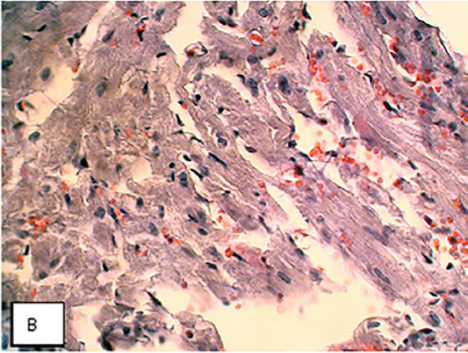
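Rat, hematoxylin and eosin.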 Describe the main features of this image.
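Heart muscle with cardiomyocytes that appear as irregular, fragmented bundles separated by wide, clear spaces, unlike a tightly packed, orderly arrangement. The fibers have purplish-pink, somewhat granular cytoplasm, and they carry oval to elongated dark-blue nuclei. Numerous red blood cells lie scattered in the spaces between the fibers and along their edges rather than being confined to narrow vessels. The outlines of the fibers are ragged and wavy, and some bundles taper or break off. Overall, the tissue looks disorganized, with broad gaps dividing the muscle into separate strands.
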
